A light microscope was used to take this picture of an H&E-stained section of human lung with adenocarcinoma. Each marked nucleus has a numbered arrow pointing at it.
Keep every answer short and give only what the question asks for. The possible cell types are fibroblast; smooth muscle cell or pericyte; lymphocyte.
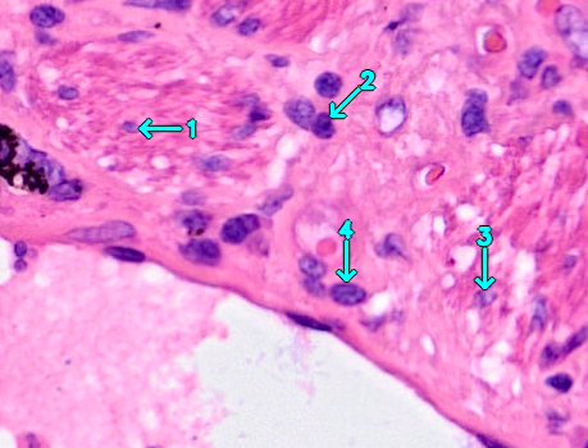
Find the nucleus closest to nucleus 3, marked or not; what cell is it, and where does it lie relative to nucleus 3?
a smooth muscle cell or pericyte to the right of nucleus 3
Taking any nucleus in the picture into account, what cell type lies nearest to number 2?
fibroblast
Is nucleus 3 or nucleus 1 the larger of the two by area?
3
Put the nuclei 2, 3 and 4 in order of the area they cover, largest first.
4, 2, 3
